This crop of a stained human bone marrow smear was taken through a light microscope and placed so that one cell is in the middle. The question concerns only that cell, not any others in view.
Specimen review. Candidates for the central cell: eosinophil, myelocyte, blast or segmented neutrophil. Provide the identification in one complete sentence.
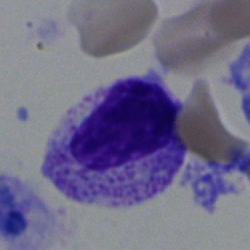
The cell nearest the centre of this crop is a myelocyte.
